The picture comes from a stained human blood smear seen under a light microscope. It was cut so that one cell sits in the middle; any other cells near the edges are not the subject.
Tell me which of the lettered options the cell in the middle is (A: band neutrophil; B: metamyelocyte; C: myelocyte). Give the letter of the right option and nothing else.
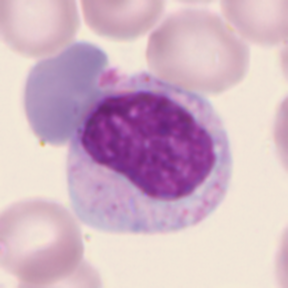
B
